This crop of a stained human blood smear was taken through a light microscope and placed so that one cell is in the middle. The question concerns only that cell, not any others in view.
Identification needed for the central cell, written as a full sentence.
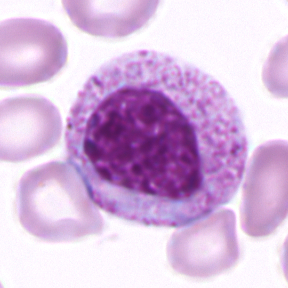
The centrally placed cell is classified as a myelocyte.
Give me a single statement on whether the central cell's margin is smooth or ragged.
Edge check done: smooth outline, no projections present.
